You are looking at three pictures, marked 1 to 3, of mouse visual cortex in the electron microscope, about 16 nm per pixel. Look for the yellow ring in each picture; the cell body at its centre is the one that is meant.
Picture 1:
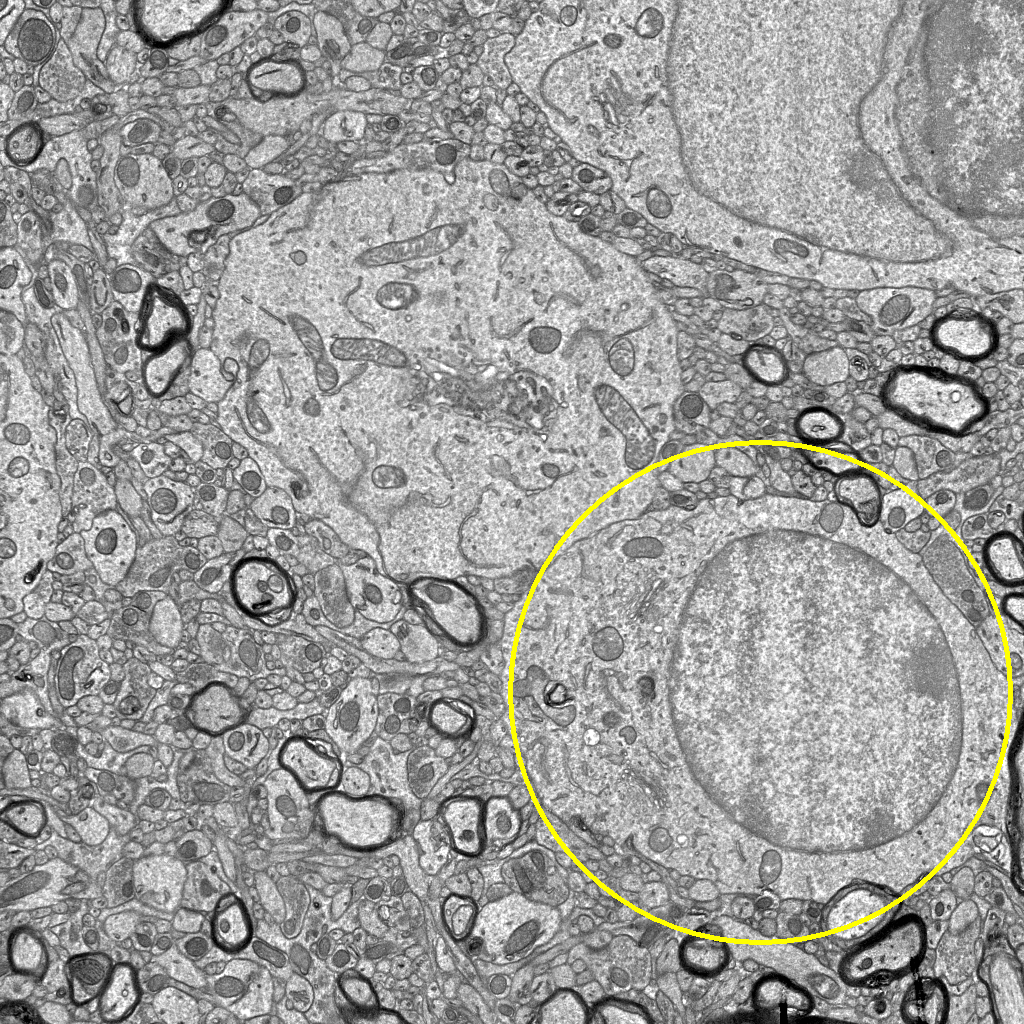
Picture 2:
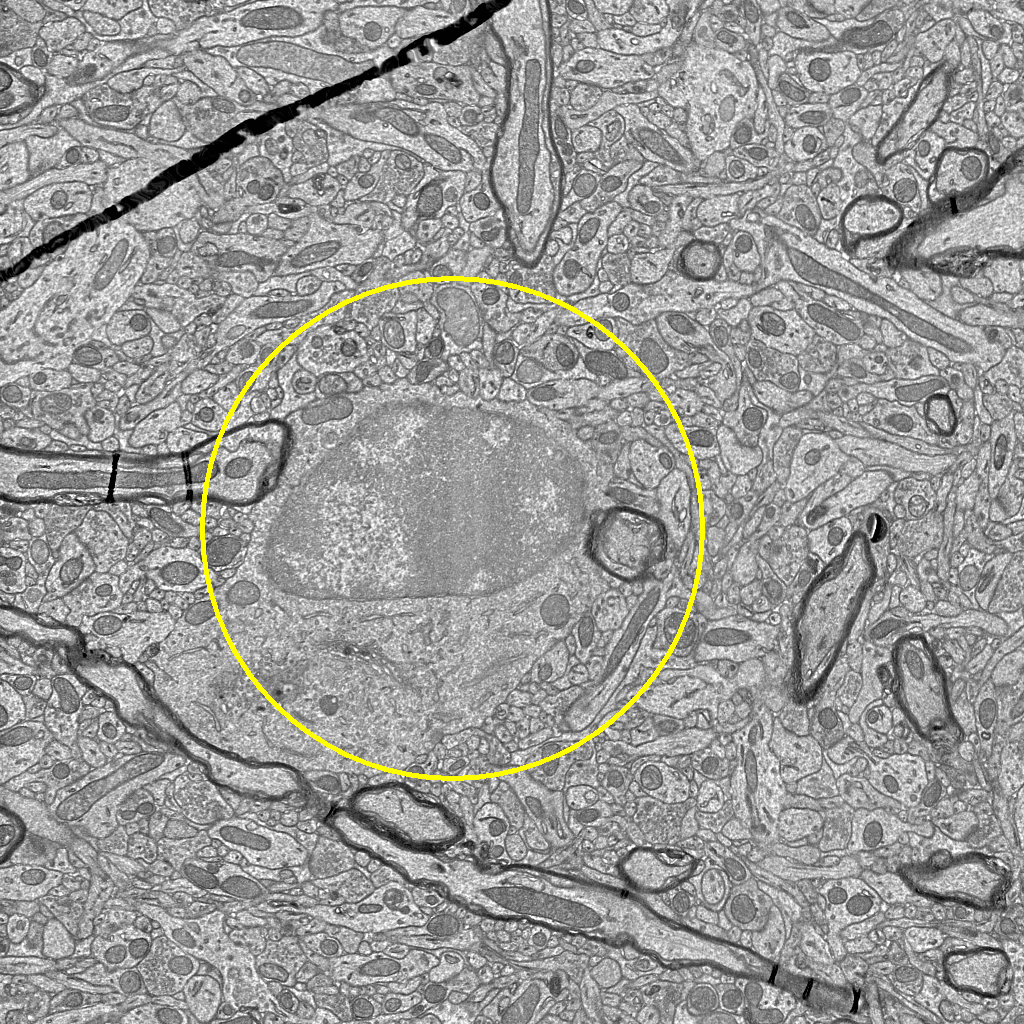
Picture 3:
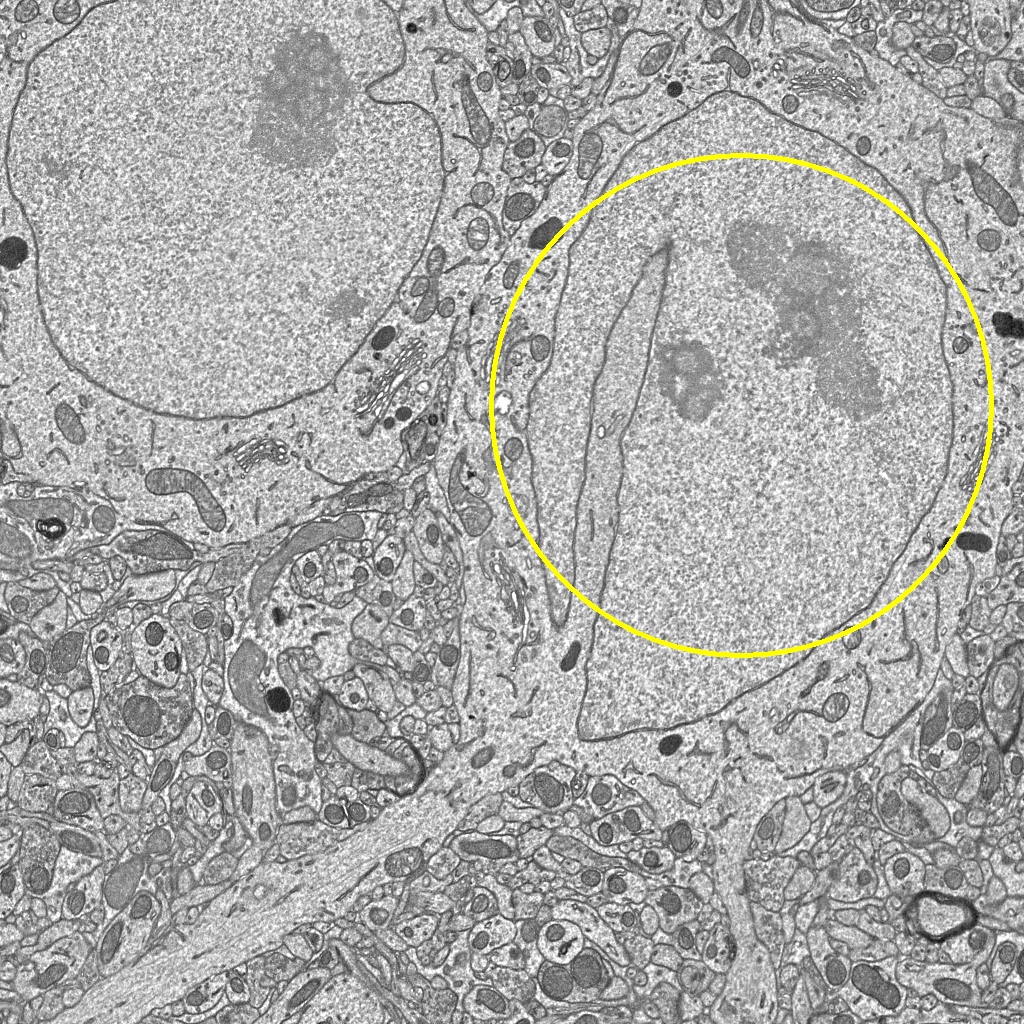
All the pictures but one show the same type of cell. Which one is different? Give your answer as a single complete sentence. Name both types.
Unlike the rest, which show oligodendrocytes, picture 3 shows an excitatory neuron.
